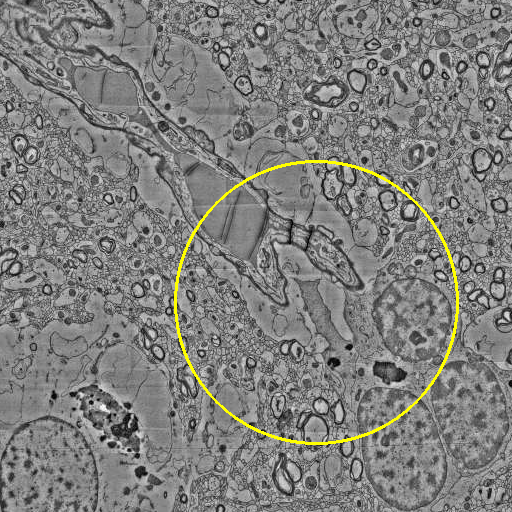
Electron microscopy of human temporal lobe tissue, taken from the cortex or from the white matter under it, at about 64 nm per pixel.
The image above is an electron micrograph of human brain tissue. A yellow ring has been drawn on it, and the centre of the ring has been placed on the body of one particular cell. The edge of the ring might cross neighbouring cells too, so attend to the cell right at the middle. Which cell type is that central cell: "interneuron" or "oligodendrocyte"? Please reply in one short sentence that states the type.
The central cell in the ring is an oligodendrocyte.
